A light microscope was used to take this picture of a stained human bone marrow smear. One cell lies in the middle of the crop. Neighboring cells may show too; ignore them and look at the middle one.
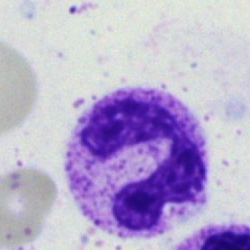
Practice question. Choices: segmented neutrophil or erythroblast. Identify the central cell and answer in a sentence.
The cell found in the middle of this crop is a segmented neutrophil.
